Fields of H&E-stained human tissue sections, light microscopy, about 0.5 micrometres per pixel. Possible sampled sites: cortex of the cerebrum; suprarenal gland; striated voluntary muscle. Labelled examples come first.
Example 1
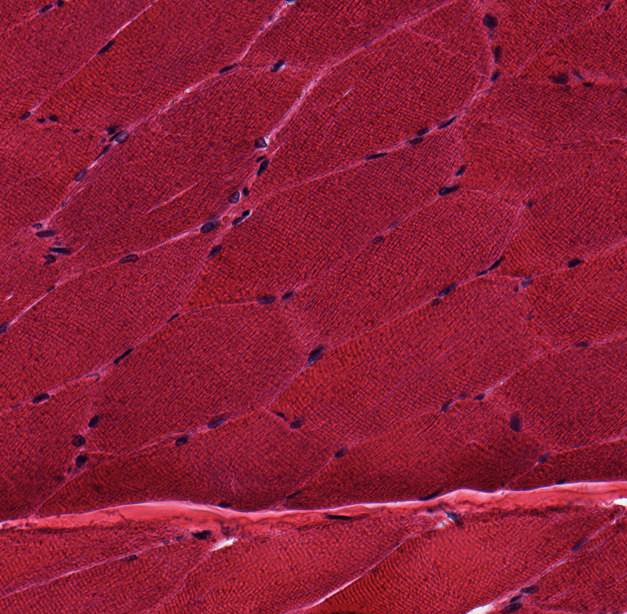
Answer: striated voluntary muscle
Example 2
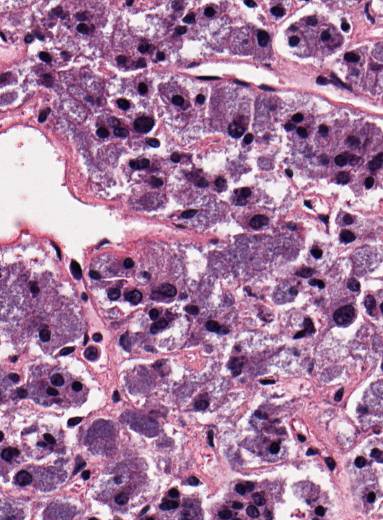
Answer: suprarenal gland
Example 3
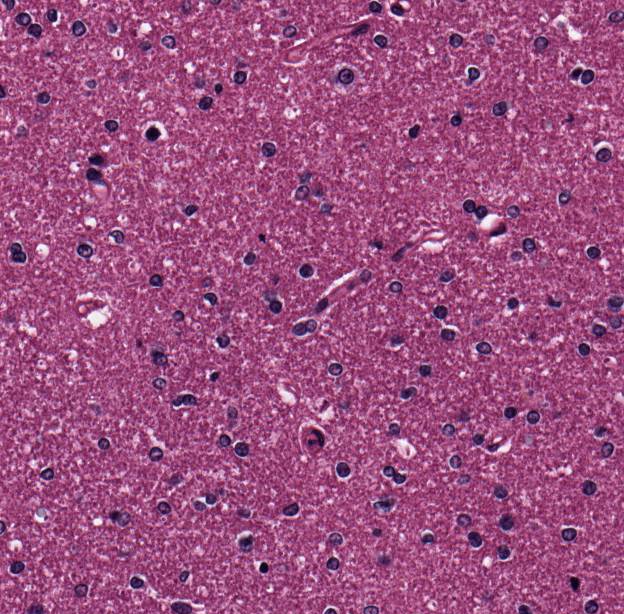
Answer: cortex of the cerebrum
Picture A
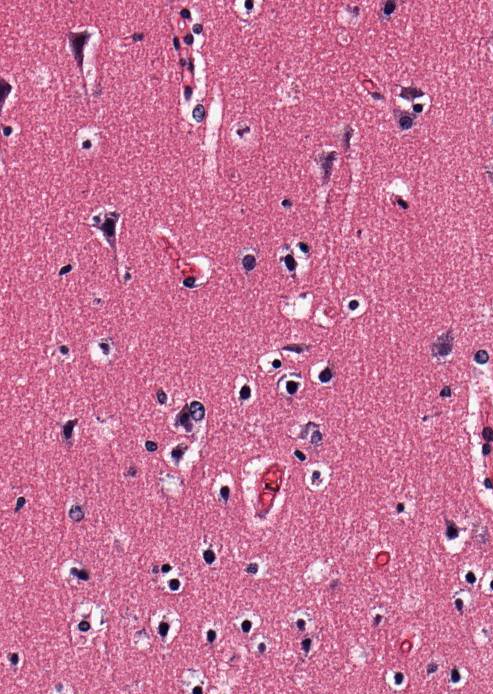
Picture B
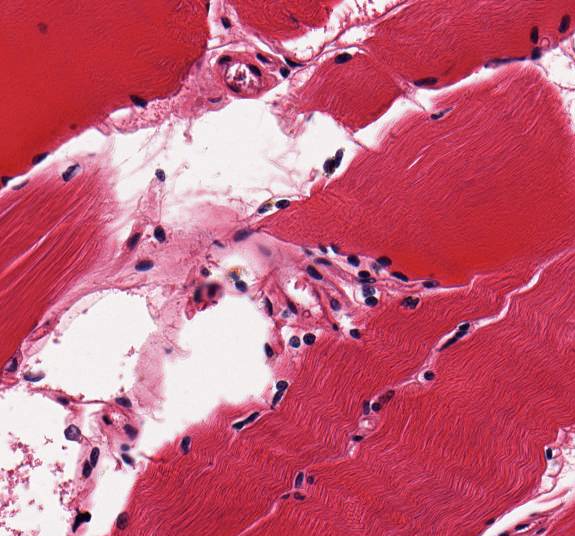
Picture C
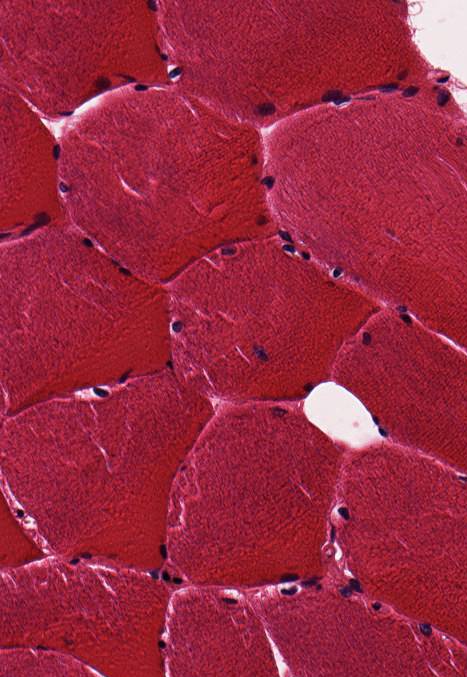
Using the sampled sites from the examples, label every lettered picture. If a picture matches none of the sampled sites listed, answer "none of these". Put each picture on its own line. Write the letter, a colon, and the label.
A: cortex of the cerebrum
B: striated voluntary muscle
C: striated voluntary muscle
